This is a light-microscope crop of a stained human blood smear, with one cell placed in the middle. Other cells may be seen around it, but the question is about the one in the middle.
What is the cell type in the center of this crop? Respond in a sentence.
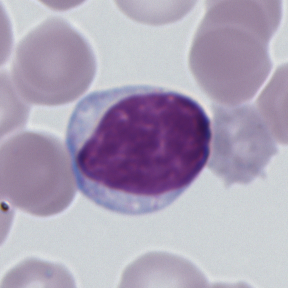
The centrally located cell in the crop is a large granular lymphocyte.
